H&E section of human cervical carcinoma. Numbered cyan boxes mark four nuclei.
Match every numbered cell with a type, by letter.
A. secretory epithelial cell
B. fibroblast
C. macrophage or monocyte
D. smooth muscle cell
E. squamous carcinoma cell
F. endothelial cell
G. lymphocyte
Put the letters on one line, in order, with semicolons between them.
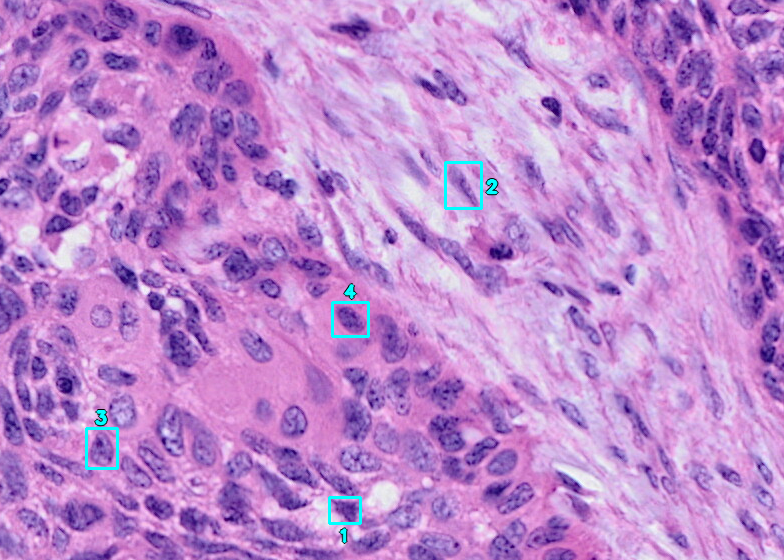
E; B; E; E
